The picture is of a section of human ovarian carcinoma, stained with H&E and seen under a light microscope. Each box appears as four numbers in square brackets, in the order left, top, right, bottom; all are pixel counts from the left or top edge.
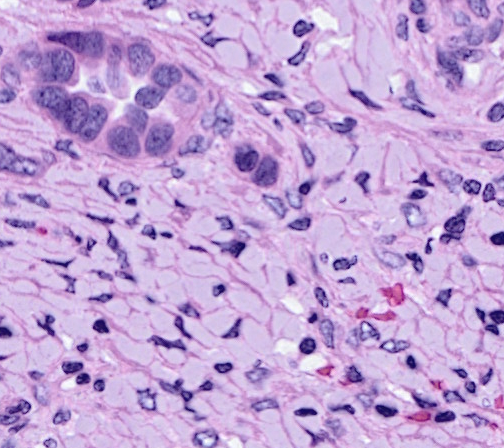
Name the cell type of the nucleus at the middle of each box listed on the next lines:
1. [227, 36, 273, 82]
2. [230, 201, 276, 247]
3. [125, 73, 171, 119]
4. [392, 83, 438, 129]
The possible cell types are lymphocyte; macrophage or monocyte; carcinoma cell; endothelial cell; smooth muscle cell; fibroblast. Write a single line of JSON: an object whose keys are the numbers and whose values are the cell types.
{"1": "fibroblast", "2": "fibroblast", "3": "carcinoma cell", "4": "fibroblast"}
